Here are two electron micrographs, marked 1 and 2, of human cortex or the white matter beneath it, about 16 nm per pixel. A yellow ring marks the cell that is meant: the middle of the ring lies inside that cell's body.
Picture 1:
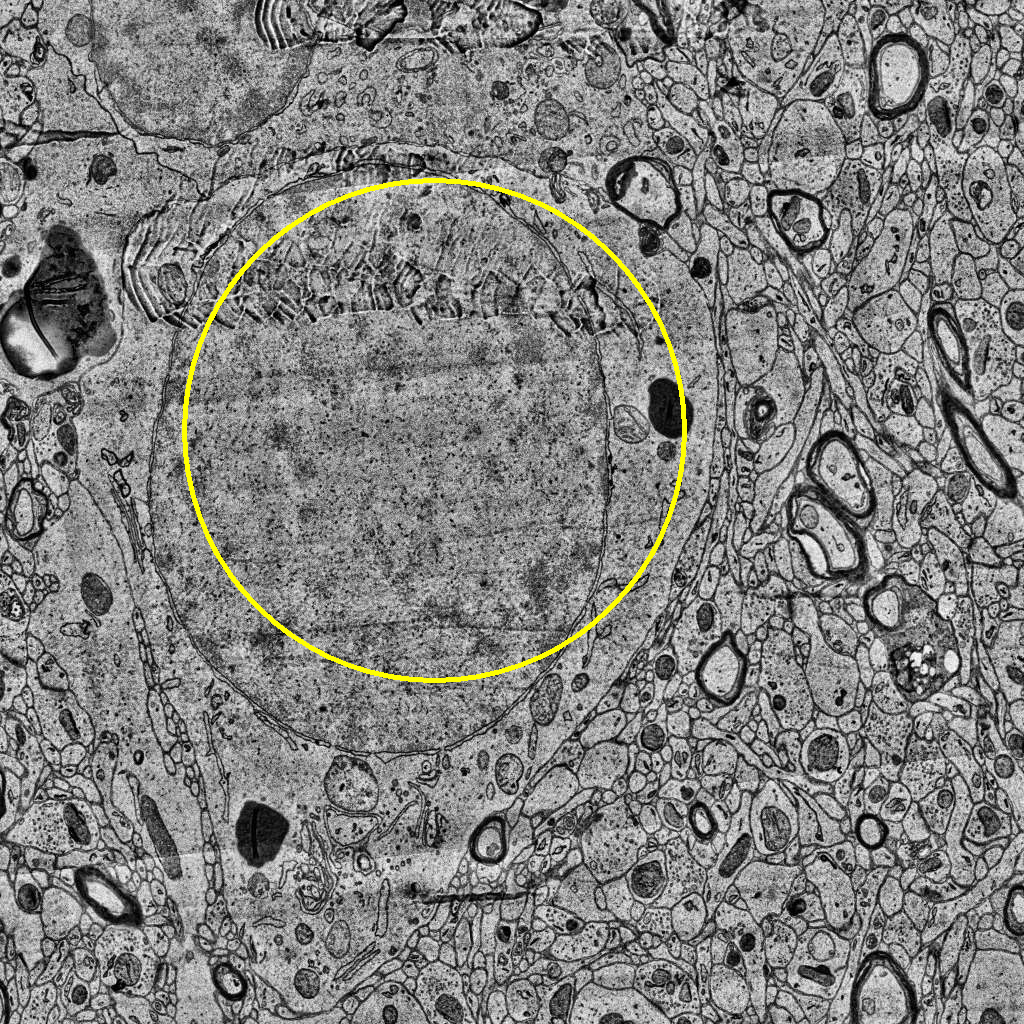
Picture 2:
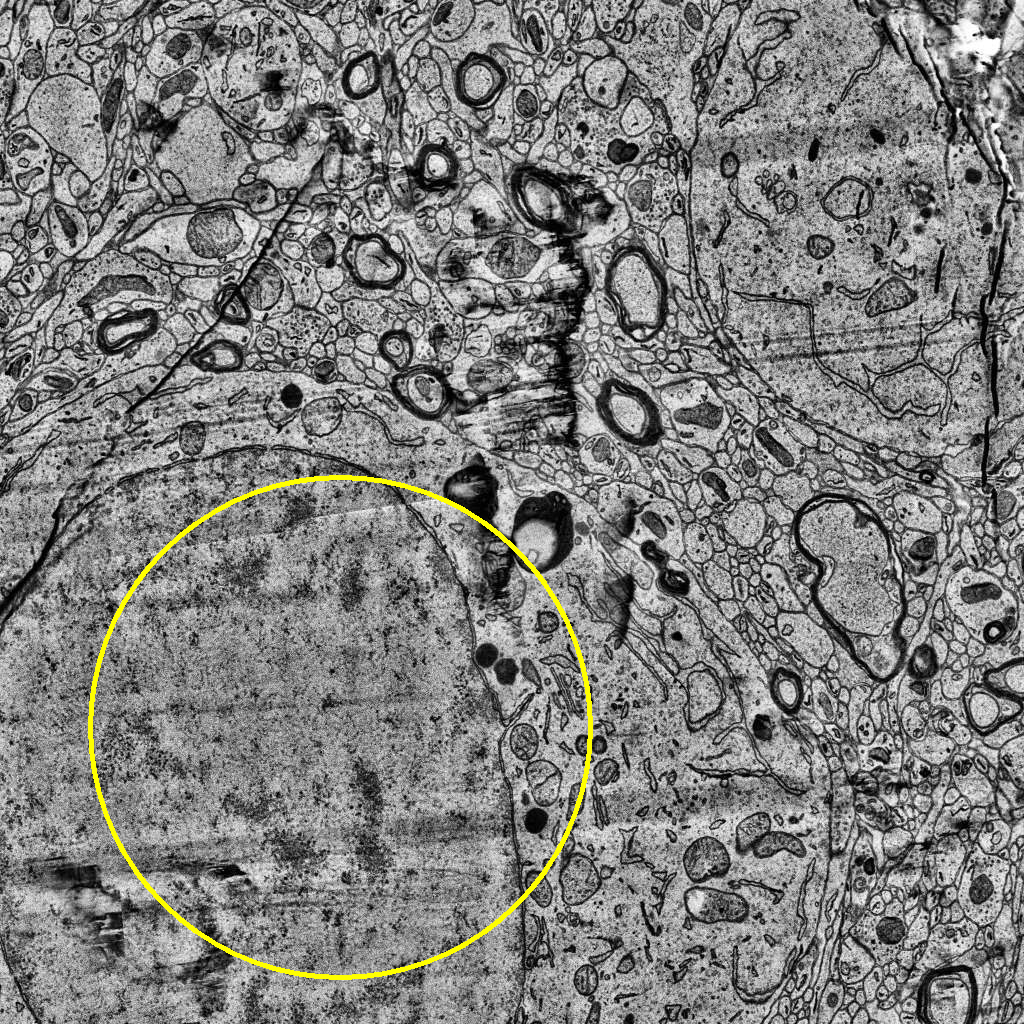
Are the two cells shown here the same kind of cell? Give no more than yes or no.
no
